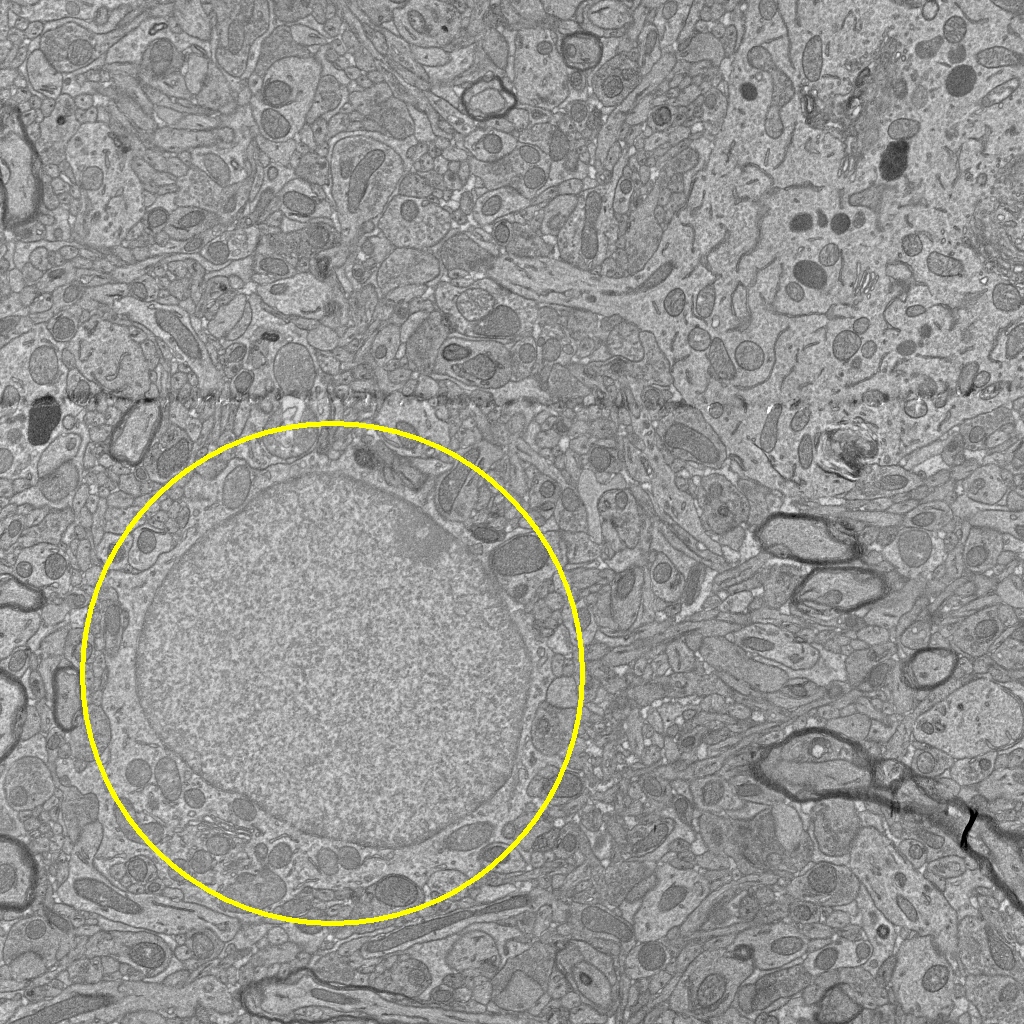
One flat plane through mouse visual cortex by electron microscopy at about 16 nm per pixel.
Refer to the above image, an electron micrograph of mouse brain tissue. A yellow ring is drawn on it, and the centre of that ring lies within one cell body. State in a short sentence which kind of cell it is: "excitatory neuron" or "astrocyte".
The centre of the ring falls on an astrocyte.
